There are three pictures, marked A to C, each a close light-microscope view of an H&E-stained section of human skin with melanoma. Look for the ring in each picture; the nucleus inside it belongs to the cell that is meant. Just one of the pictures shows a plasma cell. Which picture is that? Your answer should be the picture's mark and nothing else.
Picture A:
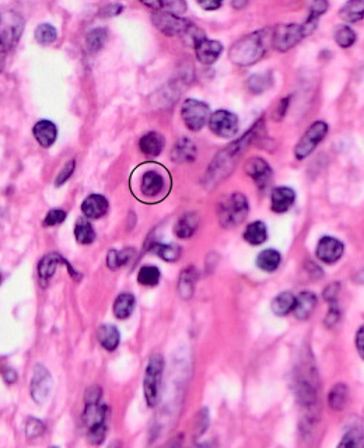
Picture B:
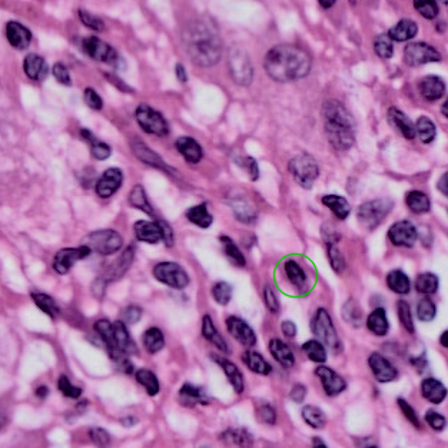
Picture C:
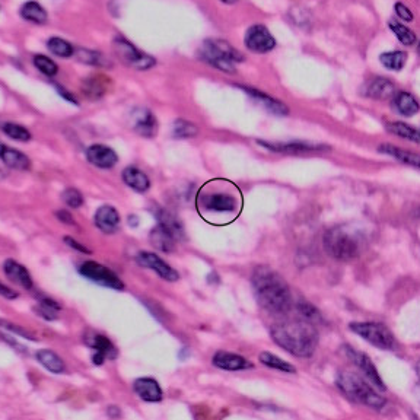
B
